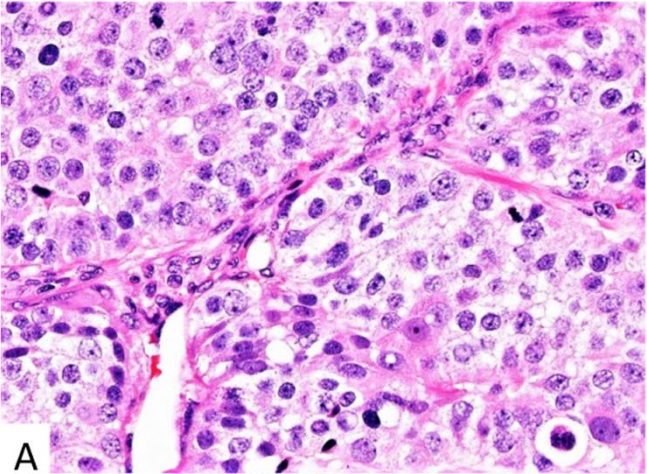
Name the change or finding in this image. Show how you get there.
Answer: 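Pleomorphic nuclei. Nuclei vary clearly in size and shape. Some nuclei are much larger and darker than their neighbours.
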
